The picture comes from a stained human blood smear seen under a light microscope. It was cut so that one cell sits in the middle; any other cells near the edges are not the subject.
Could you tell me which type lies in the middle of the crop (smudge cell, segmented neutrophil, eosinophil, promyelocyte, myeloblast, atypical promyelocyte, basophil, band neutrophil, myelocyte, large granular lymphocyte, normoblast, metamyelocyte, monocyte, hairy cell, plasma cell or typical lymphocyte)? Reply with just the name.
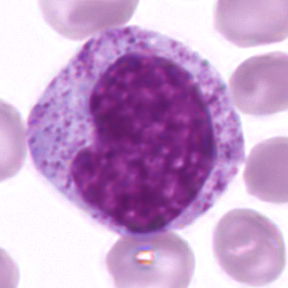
myelocyte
